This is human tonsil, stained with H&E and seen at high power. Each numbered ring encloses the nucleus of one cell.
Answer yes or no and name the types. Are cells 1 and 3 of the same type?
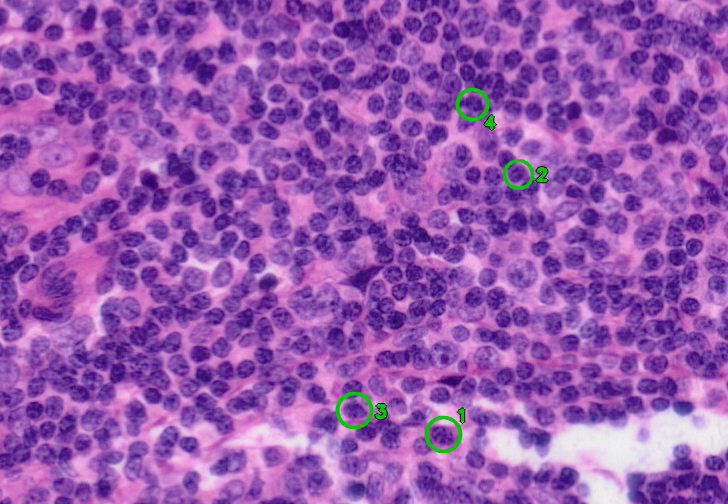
No, cell 1 is a plasma cell and cell 3 is a small lymphocyte.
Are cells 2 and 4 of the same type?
Yes, both are small lymphocytes.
